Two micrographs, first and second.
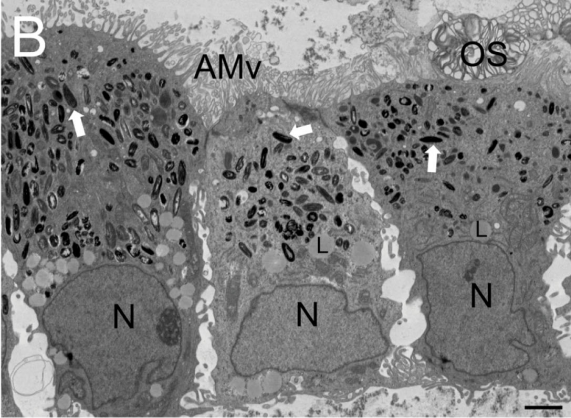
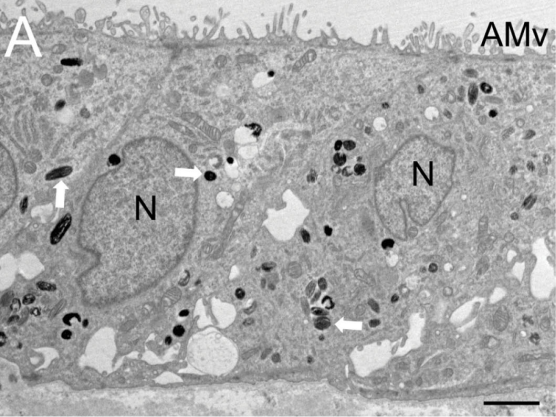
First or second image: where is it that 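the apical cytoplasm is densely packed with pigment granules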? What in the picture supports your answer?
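First image: the apical half of each cell is crowded with numerous dark elongated and round granules. Second image: dark granules are few and scattered through the cytoplasm.
Answer: the first image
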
